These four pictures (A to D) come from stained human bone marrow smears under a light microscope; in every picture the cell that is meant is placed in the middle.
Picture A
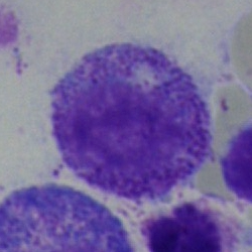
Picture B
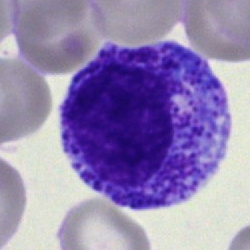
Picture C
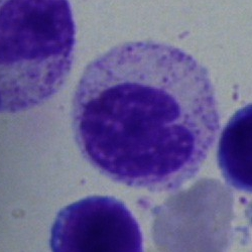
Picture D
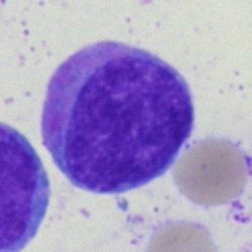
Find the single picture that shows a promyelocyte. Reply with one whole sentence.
The cell in picture D is the promyelocyte.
